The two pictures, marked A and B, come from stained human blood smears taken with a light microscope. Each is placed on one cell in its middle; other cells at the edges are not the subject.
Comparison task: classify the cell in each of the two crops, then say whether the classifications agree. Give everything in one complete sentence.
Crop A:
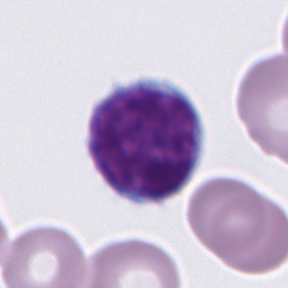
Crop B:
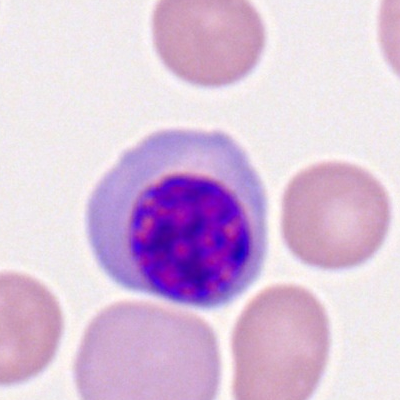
No, a lymphocyte is shown in crop A and an erythroblast in crop B.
